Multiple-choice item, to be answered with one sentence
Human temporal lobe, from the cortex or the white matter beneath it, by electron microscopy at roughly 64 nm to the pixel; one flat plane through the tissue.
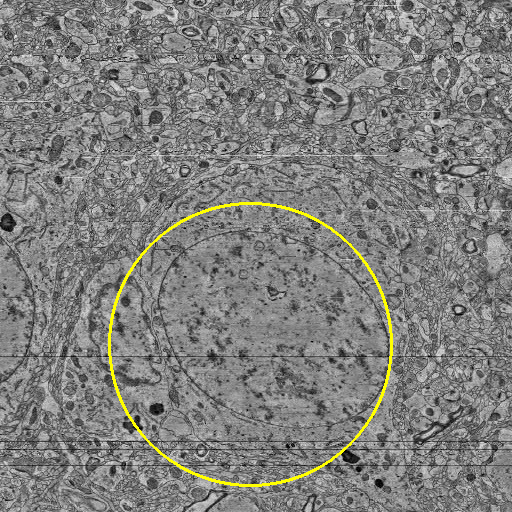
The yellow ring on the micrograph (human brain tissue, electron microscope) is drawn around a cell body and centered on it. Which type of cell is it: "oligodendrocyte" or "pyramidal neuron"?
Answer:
The ring is centered on a pyramidal neuron.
